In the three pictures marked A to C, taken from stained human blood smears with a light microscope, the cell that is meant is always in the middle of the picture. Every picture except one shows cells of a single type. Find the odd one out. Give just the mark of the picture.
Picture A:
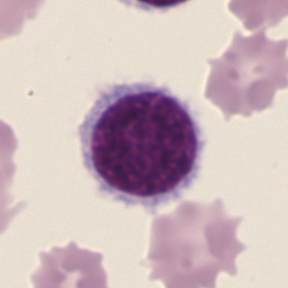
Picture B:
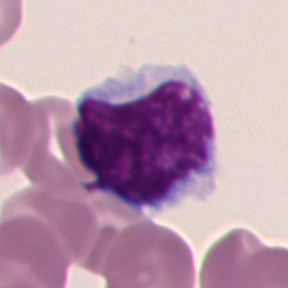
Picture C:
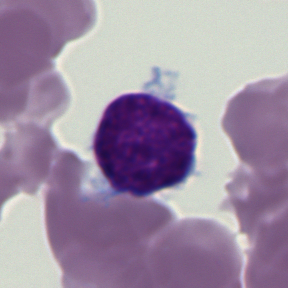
B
